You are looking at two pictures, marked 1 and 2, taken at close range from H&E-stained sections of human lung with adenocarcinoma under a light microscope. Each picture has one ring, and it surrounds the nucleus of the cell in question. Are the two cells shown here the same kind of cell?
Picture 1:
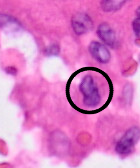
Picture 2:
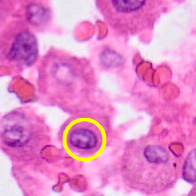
yes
